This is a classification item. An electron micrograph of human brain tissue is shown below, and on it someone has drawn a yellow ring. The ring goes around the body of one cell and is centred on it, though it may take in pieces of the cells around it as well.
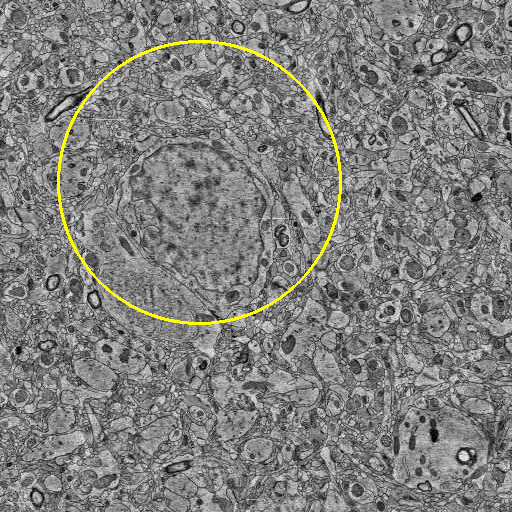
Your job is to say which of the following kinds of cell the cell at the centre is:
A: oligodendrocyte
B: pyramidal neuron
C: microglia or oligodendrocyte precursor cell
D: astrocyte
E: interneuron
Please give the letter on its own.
E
